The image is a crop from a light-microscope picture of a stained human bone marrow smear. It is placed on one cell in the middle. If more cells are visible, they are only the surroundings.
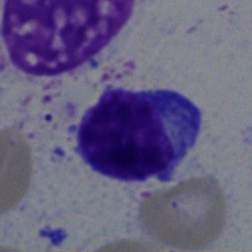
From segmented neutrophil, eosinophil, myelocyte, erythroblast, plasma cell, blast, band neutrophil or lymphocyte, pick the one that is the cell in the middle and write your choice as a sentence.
The centrally placed cell is classified as a lymphocyte.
